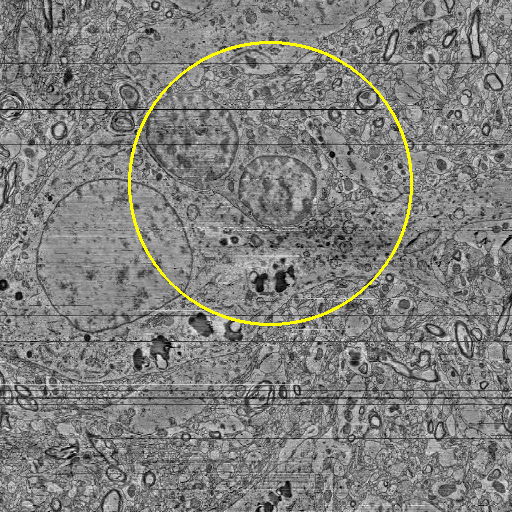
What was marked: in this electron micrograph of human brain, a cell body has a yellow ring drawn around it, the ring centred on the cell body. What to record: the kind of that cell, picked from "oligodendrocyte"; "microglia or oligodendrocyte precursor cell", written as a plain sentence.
The centred cell is an oligodendrocyte.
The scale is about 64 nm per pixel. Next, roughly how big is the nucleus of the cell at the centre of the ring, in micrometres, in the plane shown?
In this plane the nucleus measures roughly 5 micrometres across.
